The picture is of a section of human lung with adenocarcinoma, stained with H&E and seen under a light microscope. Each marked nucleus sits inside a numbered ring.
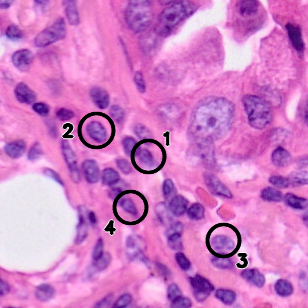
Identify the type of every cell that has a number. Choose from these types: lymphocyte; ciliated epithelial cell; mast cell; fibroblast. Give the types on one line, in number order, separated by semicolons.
lymphocyte; mast cell; lymphocyte; lymphocyte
